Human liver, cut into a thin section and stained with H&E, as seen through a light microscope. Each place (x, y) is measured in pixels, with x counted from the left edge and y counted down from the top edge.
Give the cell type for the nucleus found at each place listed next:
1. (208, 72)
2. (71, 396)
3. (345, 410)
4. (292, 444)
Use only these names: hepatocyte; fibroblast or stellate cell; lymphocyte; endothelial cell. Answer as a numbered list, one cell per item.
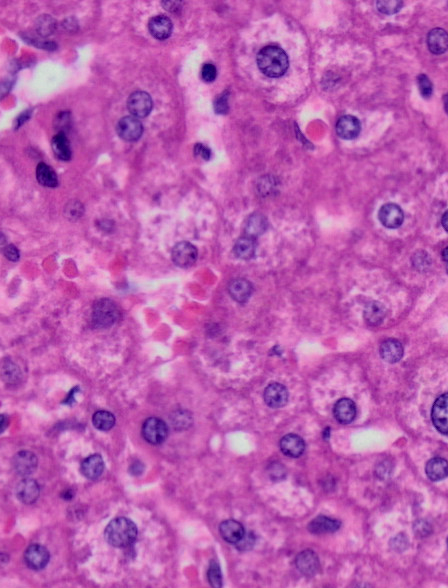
1. lymphocyte
2. endothelial cell
3. hepatocyte
4. hepatocyte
